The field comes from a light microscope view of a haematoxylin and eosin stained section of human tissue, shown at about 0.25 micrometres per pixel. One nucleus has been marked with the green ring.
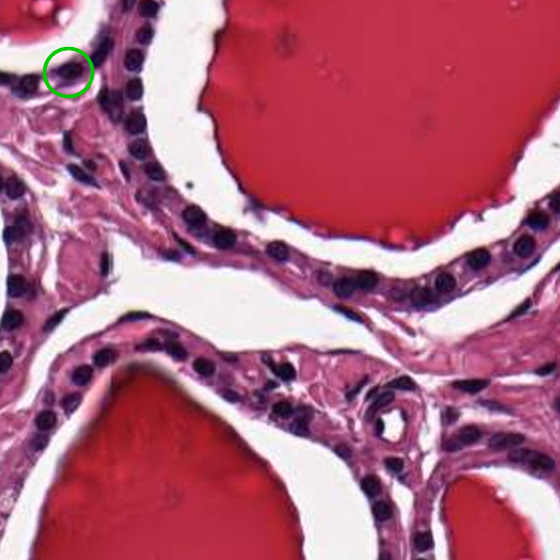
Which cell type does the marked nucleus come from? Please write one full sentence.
The cell whose nucleus is marked is a thyroid follicular cell.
